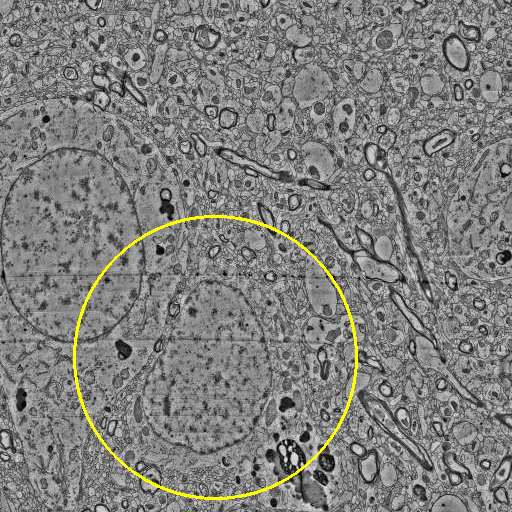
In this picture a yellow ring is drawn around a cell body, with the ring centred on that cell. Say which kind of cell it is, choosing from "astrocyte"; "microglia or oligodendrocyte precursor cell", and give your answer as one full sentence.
Here it is an astrocyte that sits at the centre of the drawn yellow ring.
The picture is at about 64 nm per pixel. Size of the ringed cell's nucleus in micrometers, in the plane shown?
Roughly 11 by 8 micrometres is the size of the nucleus in this plane.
